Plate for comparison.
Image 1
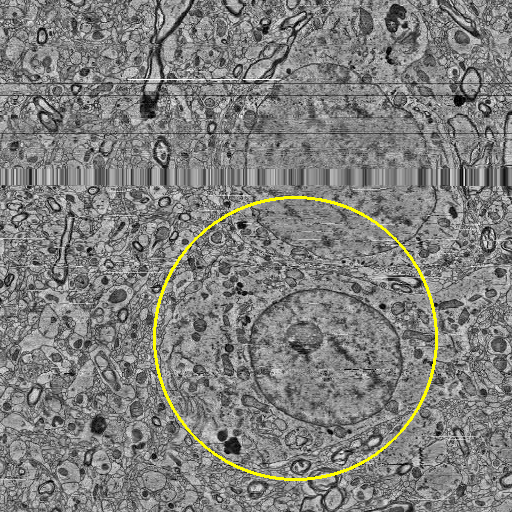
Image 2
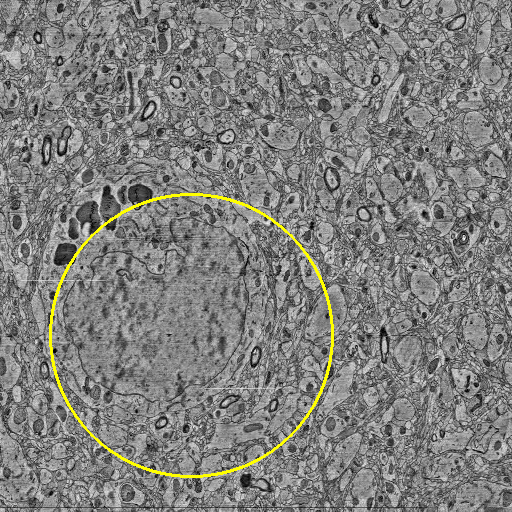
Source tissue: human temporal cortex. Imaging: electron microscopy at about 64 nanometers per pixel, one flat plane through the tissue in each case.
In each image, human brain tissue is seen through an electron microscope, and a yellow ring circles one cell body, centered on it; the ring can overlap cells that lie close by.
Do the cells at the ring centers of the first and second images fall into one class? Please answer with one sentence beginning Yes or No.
Yes, the first and second images show a single class of cell at the ring centers.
